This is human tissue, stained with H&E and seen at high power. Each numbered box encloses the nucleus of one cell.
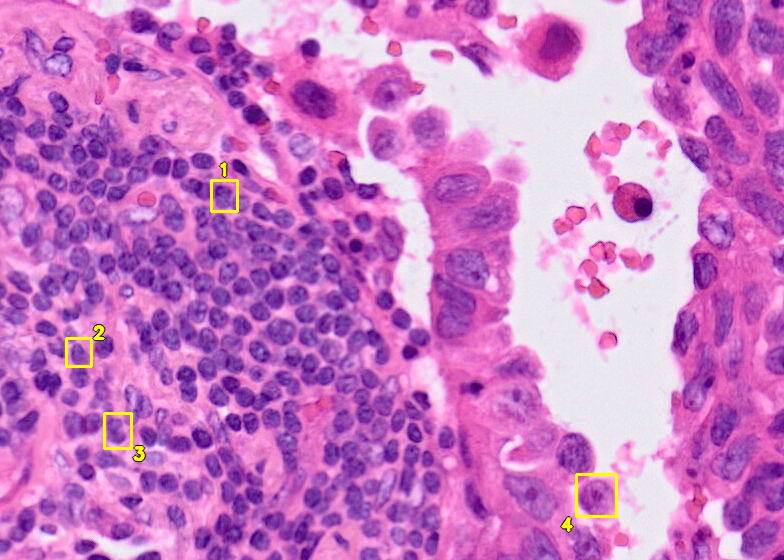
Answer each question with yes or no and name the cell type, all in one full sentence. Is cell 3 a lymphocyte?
Yes, the cell shown as number 3 is a lymphocyte.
